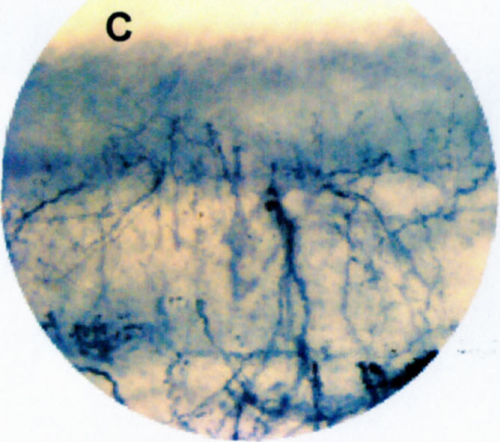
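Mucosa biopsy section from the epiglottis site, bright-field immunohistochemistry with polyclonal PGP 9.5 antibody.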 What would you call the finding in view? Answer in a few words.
Increased and chaotic nerve branching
